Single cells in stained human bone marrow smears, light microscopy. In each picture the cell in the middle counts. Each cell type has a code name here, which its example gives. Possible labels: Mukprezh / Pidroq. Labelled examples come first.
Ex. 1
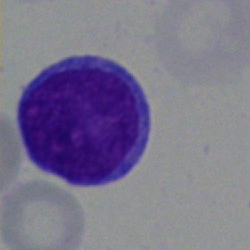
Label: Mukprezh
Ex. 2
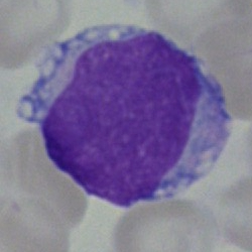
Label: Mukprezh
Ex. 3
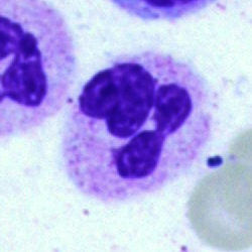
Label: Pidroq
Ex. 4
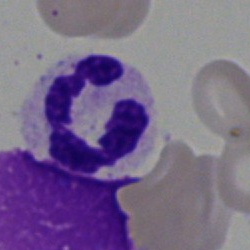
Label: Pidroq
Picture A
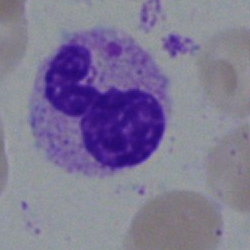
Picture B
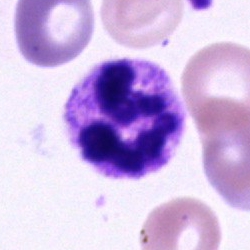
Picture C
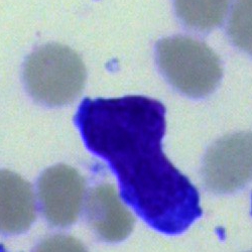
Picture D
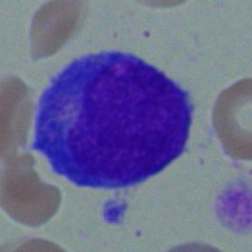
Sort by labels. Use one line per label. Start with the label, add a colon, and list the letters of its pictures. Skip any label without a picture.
Mukprezh: C, D
Pidroq: A, B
